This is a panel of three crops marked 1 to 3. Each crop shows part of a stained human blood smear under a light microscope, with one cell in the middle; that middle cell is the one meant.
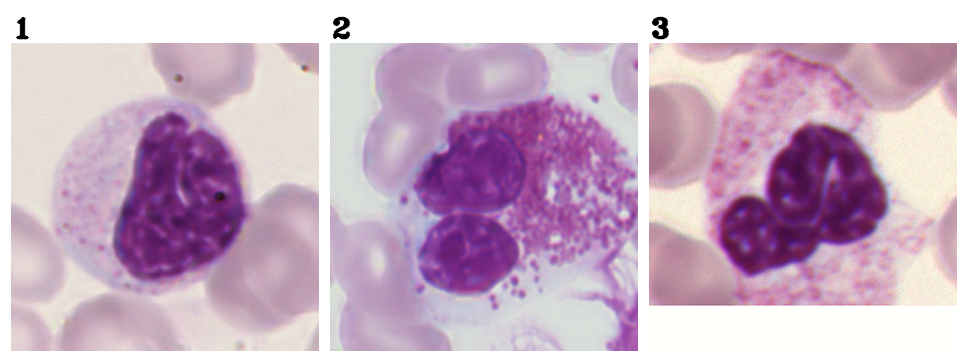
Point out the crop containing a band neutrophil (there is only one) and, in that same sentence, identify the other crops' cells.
The cell at the centre of crop 1 is a band neutrophil, while crop 2 is an eosinophil and crop 3 is a segmented neutrophil.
